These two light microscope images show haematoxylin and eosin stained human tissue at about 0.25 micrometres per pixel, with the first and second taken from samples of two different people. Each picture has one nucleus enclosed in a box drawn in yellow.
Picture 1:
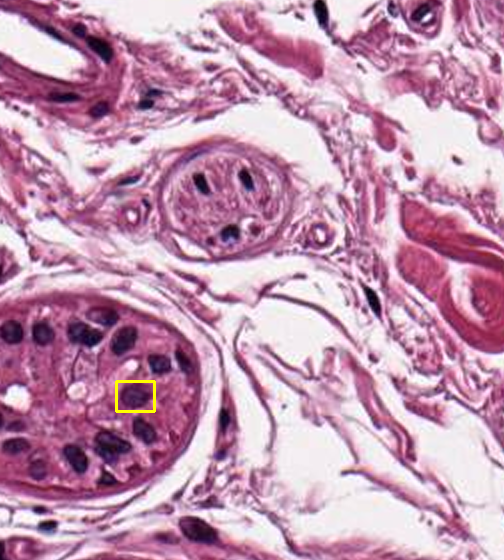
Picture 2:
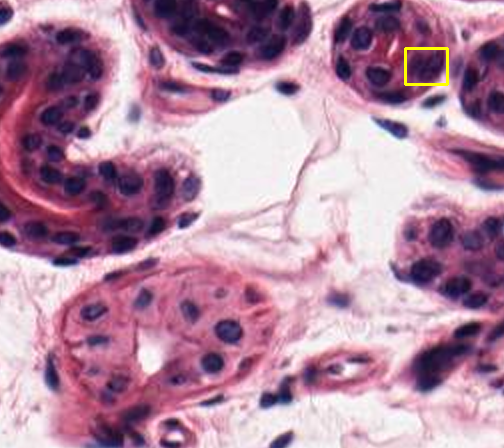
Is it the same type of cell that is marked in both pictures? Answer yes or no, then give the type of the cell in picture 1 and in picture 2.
Yes, both are sweat gland cells.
